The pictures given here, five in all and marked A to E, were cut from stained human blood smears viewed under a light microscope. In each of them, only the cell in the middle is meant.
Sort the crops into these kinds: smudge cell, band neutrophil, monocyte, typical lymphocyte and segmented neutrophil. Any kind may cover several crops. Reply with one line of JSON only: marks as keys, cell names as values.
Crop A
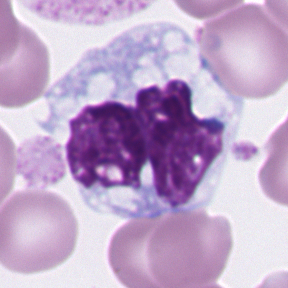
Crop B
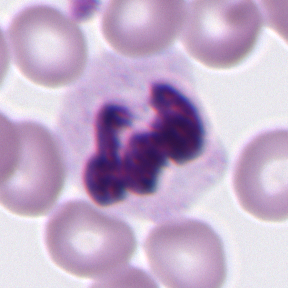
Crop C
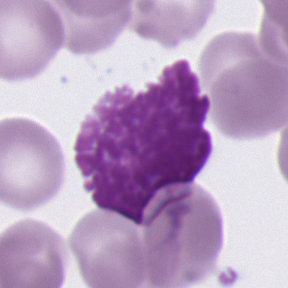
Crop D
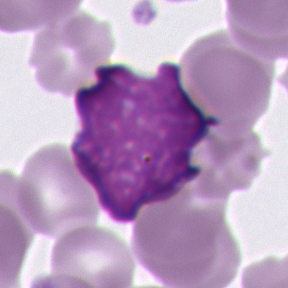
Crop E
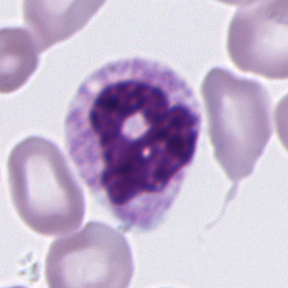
{"A": "monocyte", "B": "segmented neutrophil", "C": "smudge cell", "D": "smudge cell", "E": "segmented neutrophil"}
